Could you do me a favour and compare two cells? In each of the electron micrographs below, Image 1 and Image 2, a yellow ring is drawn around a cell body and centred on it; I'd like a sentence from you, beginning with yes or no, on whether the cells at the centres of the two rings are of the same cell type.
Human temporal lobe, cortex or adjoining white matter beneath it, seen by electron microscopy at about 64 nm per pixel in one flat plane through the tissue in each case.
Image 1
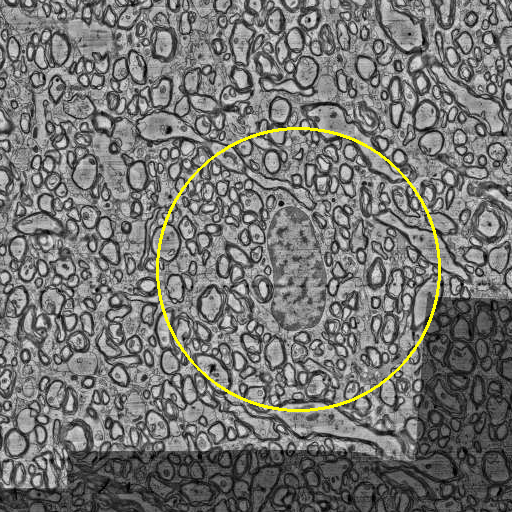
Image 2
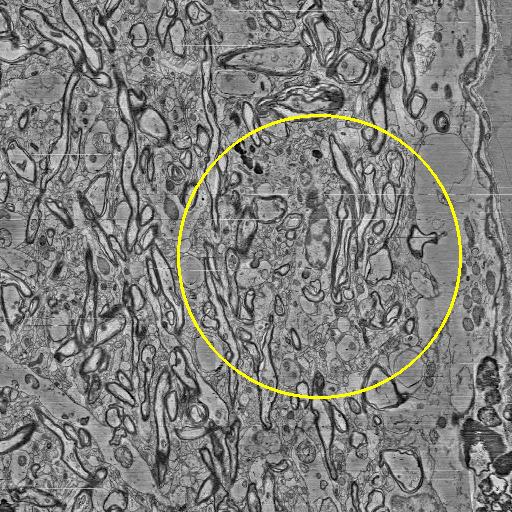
Yes, the two cells are of the same cell type.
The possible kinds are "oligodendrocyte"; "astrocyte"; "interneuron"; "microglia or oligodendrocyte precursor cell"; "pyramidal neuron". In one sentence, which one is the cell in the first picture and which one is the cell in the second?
Each of the two rings surrounds a microglial cell or oligodendrocyte precursor cell.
